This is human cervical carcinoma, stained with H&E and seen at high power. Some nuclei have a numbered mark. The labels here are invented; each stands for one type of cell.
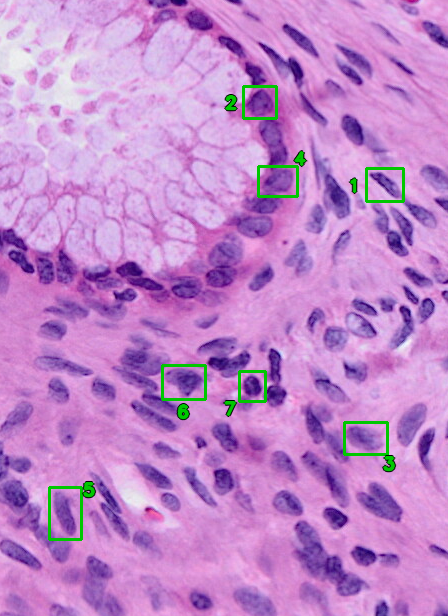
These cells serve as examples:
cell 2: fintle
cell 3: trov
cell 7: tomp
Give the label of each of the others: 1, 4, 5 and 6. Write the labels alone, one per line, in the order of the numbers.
trov
fintle
trov
trov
